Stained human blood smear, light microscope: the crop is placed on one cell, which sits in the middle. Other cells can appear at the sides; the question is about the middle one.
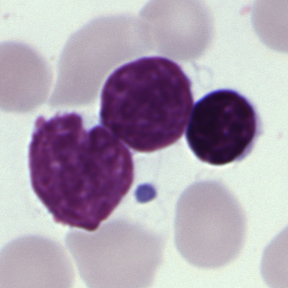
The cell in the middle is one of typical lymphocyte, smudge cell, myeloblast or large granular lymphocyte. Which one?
myeloblast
